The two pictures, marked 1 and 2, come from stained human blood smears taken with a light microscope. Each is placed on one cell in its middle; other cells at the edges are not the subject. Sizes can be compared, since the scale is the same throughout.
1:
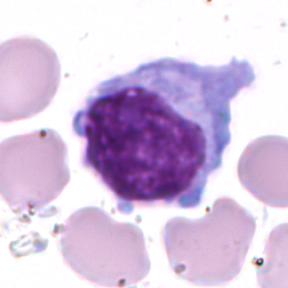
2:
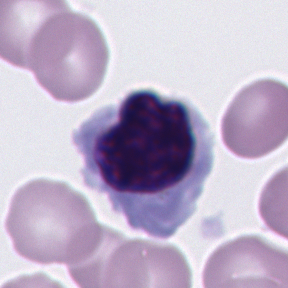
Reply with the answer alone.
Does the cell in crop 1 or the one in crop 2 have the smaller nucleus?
2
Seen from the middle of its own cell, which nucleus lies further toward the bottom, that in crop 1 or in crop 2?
1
